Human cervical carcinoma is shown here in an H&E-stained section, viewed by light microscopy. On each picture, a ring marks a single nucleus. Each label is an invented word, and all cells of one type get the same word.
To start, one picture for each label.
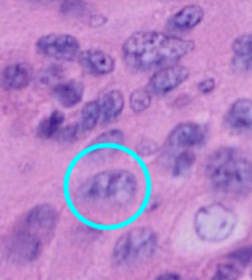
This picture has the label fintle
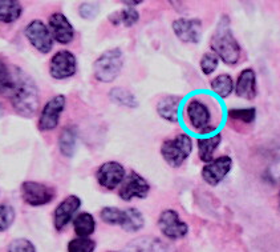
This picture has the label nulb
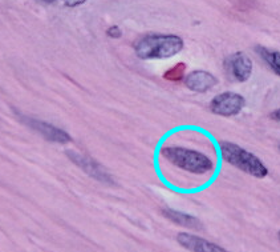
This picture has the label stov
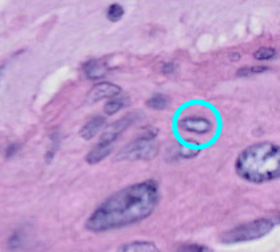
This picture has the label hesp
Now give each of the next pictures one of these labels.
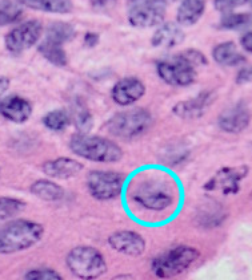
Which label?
fintle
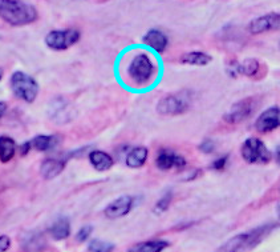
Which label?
nulb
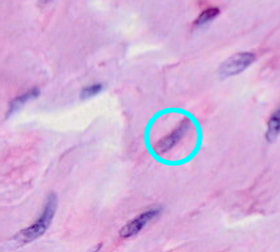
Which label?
hesp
